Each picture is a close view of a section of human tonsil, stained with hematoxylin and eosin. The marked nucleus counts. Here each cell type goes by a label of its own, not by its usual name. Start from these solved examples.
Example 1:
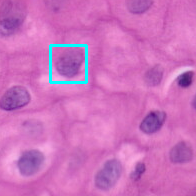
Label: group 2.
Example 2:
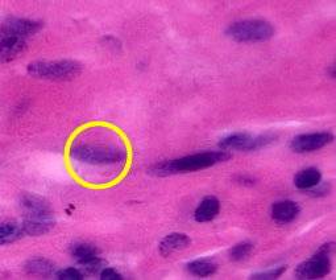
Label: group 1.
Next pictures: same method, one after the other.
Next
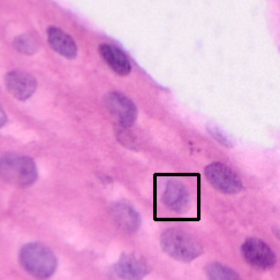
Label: group 2.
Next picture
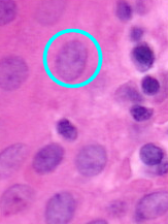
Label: group 2.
